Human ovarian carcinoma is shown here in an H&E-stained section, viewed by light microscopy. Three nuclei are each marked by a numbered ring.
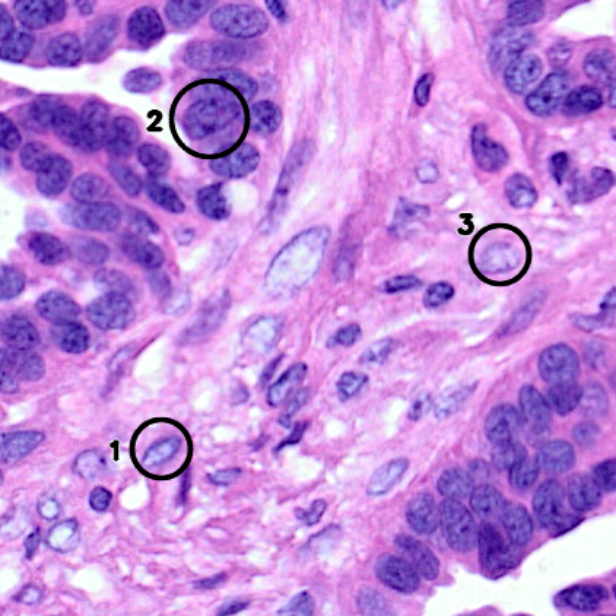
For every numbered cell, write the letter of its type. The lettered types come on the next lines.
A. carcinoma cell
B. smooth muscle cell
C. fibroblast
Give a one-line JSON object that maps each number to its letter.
{"1": "C", "2": "A", "3": "C"}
